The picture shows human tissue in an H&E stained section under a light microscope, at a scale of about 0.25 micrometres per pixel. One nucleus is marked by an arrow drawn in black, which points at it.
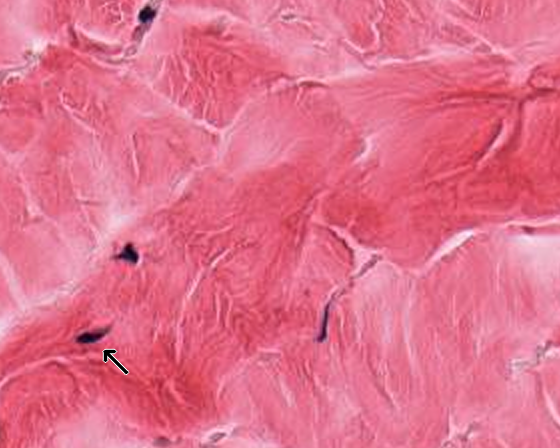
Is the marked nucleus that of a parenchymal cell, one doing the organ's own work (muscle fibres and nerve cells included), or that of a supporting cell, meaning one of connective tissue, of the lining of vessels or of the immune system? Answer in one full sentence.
The marked nucleus, in this section, is the nucleus of a supporting cell.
